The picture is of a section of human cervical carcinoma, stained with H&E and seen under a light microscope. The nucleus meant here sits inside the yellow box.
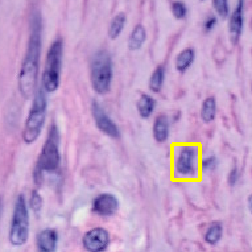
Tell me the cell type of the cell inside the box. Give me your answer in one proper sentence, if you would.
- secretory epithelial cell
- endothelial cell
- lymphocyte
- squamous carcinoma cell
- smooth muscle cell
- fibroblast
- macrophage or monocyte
The expected answer is simply that the cell inside the box is a smooth muscle cell.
